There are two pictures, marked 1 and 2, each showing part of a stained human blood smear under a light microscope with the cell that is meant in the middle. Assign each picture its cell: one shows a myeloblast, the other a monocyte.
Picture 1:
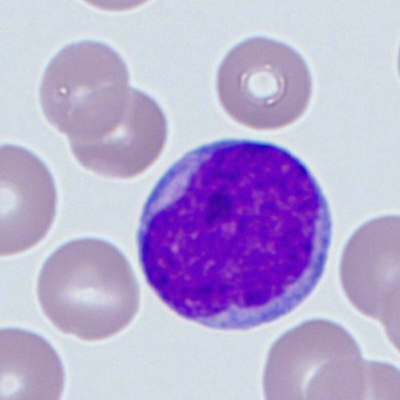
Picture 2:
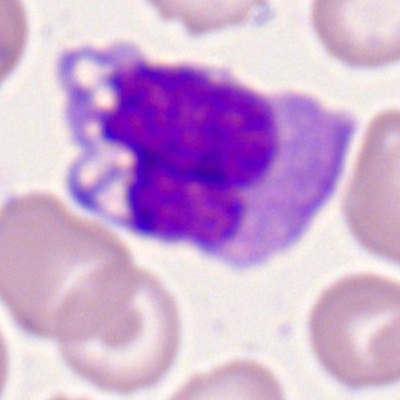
1: myeloblast
2: monocyte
